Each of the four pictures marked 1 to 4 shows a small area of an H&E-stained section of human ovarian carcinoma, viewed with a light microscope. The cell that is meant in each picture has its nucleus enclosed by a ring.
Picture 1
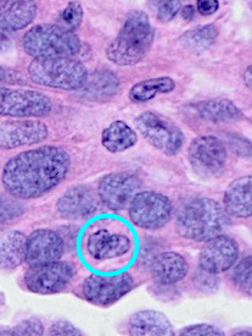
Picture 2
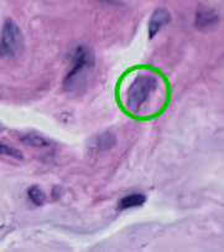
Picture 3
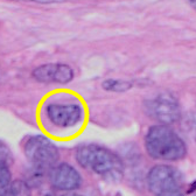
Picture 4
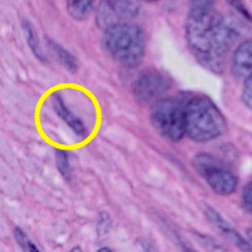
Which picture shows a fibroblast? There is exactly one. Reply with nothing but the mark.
4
